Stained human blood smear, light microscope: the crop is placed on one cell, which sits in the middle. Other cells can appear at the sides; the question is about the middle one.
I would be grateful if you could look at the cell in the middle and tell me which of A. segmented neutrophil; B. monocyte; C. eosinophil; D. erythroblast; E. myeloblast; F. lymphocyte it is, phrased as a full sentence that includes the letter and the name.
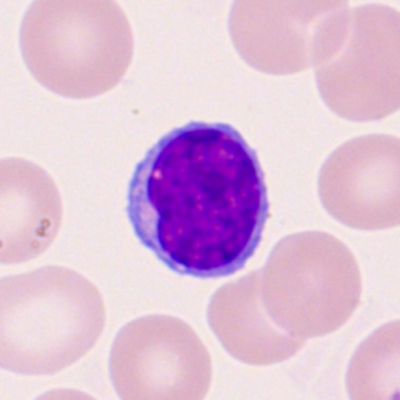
Option F is correct; the cell in the middle is a lymphocyte.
